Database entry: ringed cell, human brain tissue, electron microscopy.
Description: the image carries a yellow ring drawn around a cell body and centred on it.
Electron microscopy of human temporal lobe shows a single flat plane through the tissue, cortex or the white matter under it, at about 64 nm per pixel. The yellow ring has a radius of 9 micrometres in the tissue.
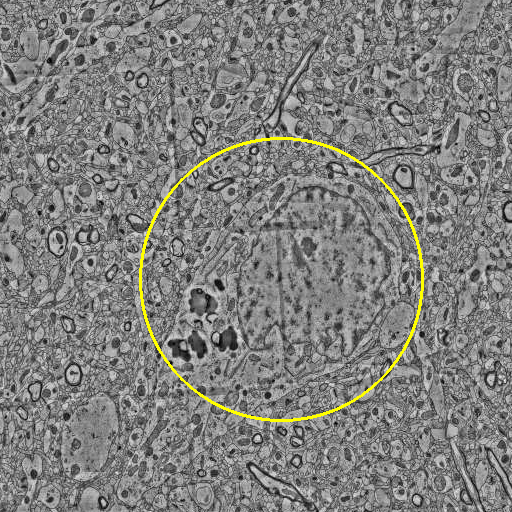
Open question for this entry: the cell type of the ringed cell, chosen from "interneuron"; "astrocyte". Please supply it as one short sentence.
The ringed cell is an interneuron.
